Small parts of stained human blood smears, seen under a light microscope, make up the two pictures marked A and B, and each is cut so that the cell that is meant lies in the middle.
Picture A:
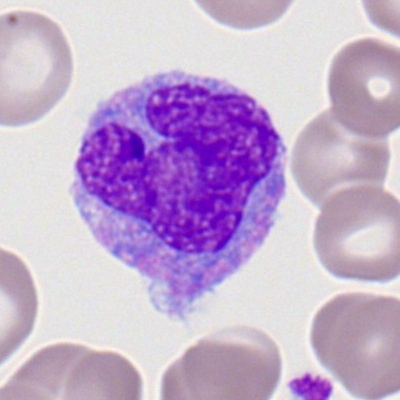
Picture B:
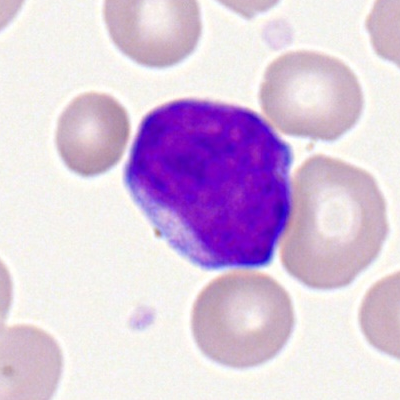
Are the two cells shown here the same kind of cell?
no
